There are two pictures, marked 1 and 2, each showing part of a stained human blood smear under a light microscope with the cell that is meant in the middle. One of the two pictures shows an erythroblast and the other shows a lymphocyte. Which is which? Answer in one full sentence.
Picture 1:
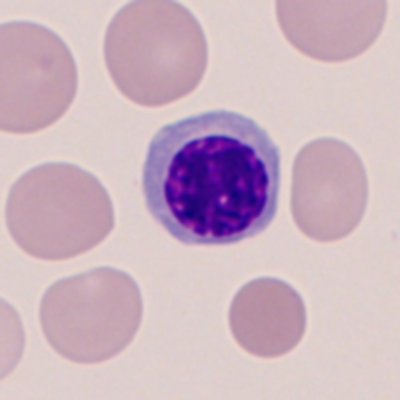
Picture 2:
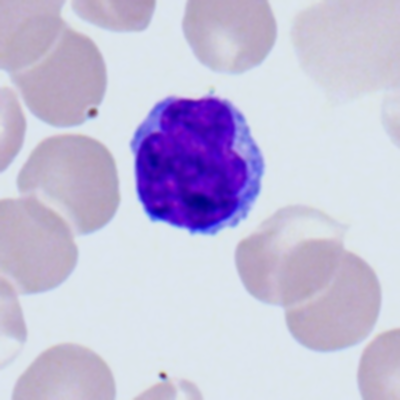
In picture 1 the cell is an erythroblast; in picture 2, a lymphocyte.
